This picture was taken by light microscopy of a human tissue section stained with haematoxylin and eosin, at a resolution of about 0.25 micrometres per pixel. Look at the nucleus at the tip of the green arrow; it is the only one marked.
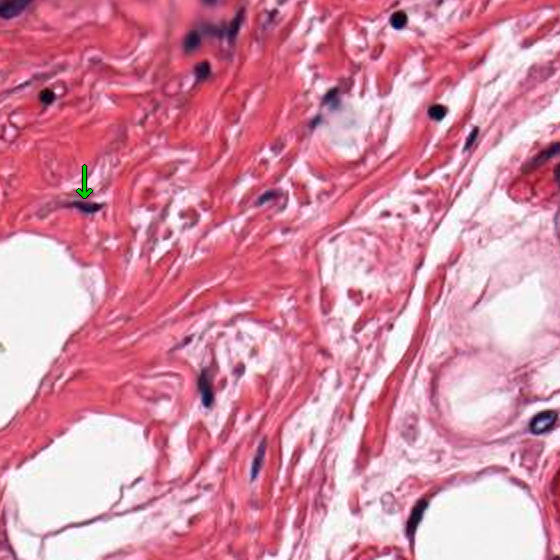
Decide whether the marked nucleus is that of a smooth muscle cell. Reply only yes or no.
no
